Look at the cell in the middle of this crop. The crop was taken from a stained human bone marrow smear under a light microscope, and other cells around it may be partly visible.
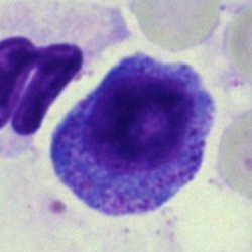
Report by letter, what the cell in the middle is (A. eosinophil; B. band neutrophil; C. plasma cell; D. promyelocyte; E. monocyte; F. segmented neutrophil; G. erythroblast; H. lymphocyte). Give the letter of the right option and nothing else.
D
